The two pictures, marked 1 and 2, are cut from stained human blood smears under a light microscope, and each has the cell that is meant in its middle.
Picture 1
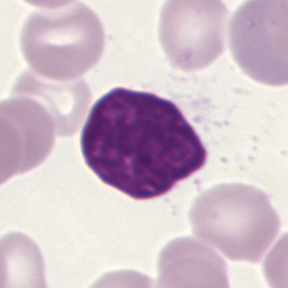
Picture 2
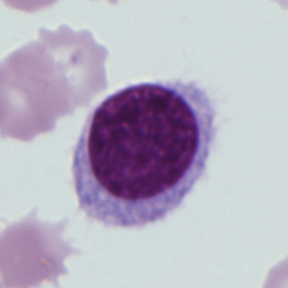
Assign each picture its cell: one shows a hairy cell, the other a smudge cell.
1: smudge cell
2: hairy cell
